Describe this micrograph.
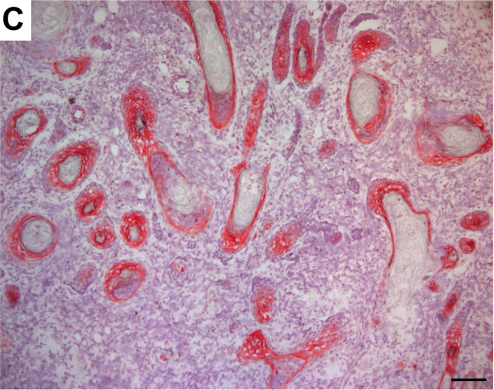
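The deposits appear as round, oval or elongated pale grey, laminated masses scattered through the field. Each is encircled by a band of flattened epithelial cells that stain intensely red. Between these structures lies a background of densely packed cells with small purple nuclei that remains largely free of red stain. A few small red foci without central deposits are also scattered in the tissue.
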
